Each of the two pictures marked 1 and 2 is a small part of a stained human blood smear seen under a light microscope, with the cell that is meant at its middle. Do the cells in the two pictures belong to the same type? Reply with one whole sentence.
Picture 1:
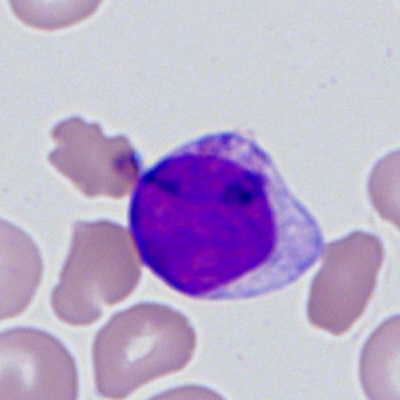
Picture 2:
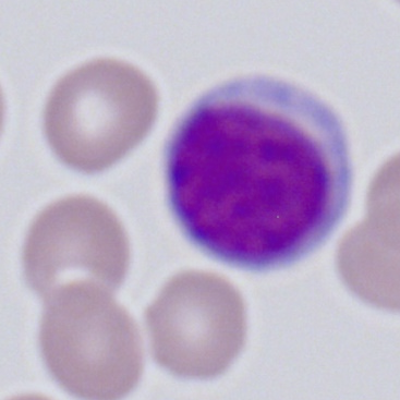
Yes, both are lymphocytes.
